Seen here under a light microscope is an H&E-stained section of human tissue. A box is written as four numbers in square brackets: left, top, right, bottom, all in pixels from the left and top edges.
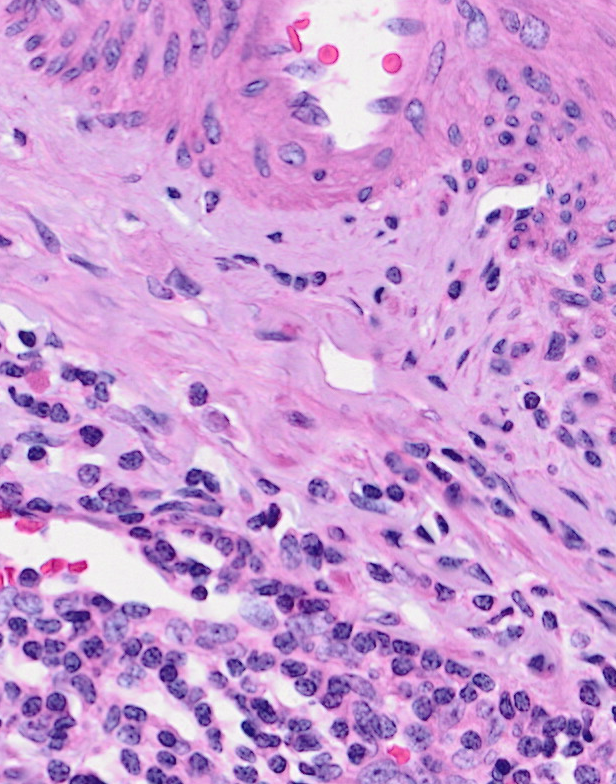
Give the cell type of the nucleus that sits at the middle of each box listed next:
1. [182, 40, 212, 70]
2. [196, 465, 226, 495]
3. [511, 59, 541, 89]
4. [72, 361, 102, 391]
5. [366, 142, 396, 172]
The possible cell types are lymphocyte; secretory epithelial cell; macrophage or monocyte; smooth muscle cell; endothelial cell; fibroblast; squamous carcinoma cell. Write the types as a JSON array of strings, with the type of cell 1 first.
["smooth muscle cell", "lymphocyte", "smooth muscle cell", "lymphocyte", "smooth muscle cell"]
